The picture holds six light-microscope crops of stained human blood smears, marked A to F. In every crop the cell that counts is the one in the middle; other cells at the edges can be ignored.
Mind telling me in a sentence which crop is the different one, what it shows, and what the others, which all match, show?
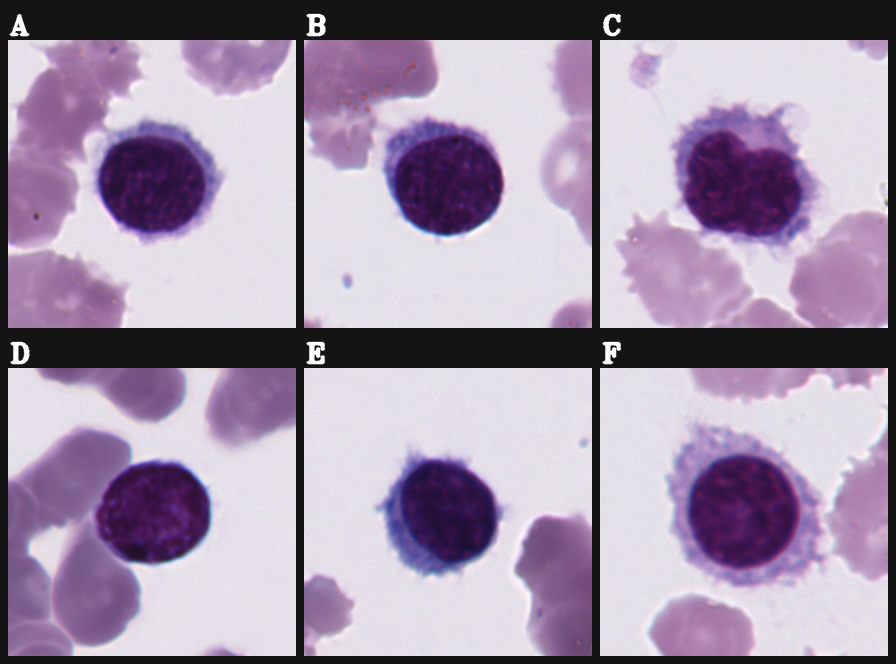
All crops show hairy cells except crop D, which is a myeloblast.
